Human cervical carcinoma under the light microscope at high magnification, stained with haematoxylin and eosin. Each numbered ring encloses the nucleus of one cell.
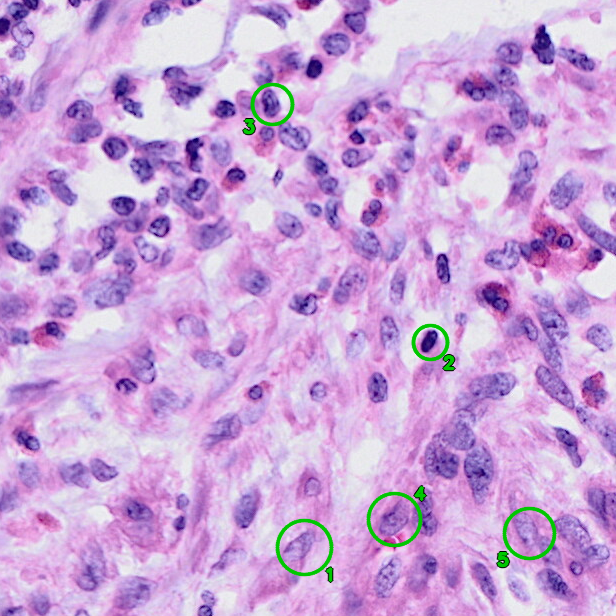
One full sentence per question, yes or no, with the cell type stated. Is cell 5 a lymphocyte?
No, cell 5 should be read as an endothelial cell instead of a lymphocyte.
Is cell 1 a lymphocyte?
No, number 1 is assigned to a fibroblast, not to a lymphocyte.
